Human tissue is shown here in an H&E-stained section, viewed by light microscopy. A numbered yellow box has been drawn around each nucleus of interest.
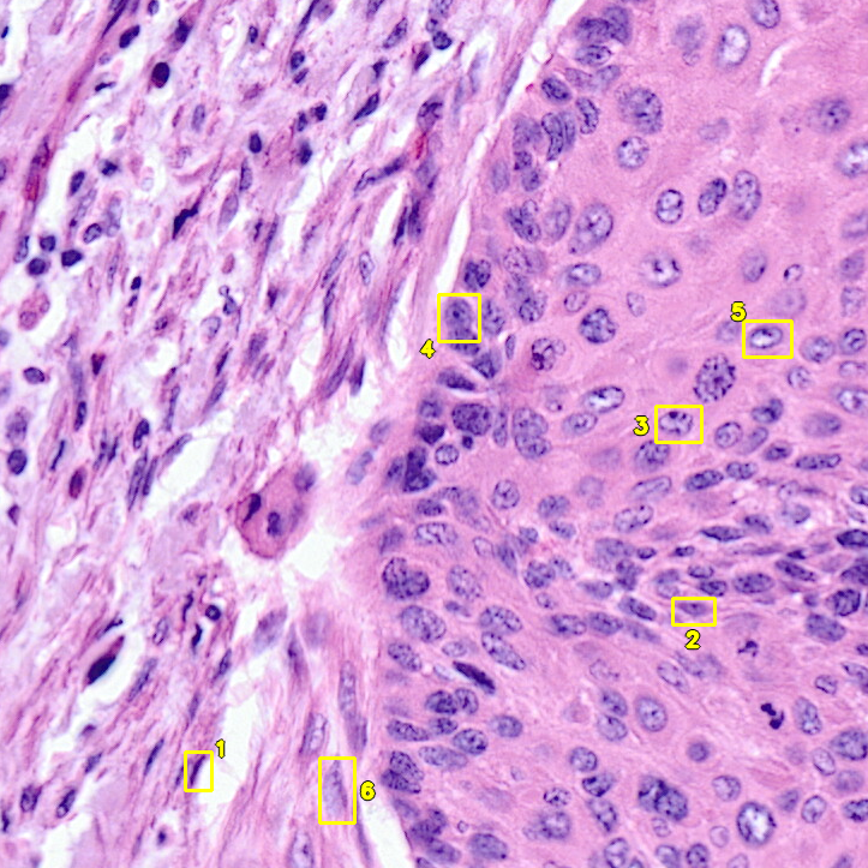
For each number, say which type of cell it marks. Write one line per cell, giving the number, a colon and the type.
1: fibroblast
2: squamous carcinoma cell
3: squamous carcinoma cell
4: squamous carcinoma cell
5: squamous carcinoma cell
6: fibroblast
